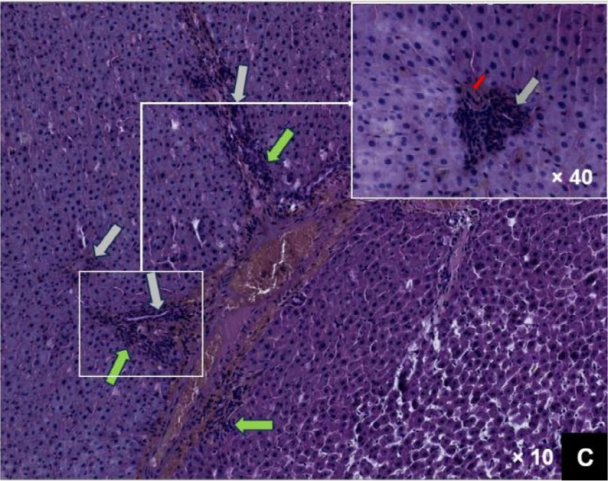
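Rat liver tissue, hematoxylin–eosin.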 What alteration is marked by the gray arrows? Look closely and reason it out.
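Portal inflammation. Dense clusters of small dark round nuclei along the portal connective tissue. The clusters are more crowded than the surrounding hepatocyte nuclei.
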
